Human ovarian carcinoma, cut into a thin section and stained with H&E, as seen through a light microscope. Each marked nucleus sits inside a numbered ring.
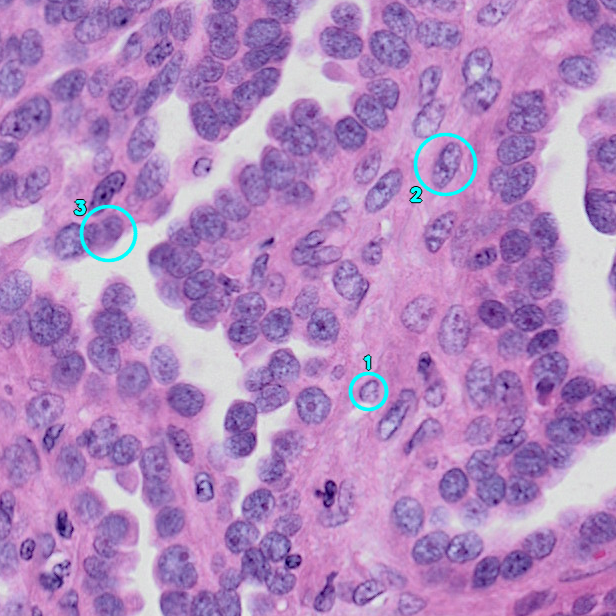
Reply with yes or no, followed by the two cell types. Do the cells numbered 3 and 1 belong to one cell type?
No, cell 3 is a carcinoma cell, and cell 1 is a fibroblast.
